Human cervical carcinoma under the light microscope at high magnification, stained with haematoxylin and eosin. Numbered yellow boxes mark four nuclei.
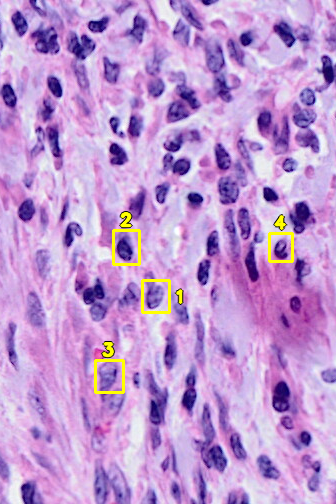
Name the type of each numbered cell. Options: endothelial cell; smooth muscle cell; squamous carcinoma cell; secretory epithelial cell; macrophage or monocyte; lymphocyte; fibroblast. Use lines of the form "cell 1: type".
cell 1: lymphocyte
cell 2: lymphocyte
cell 3: endothelial cell
cell 4: lymphocyte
